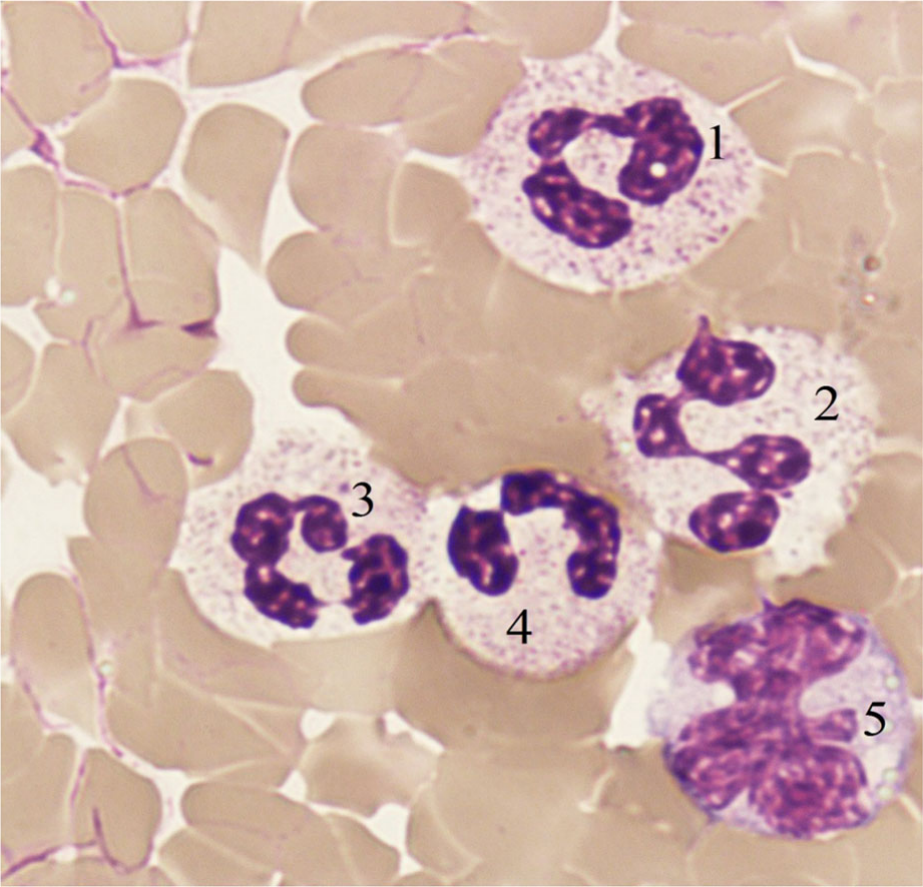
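This is a blood smear with several neutrophils and one monocyte lying among closely packed pale pink-beige red cells. Four of the white cells have dark purple nuclei split into three to five lobes joined by thin strands, with clumped chromatin. Their cytoplasm is pale and dusted with fine pinkish-violet granules. The cell at lower right is different: its nucleus is large, folded and unsegmented, with a looser, more reticular chromatin pattern. It has a narrow rim of pale bluish-grey cytoplasm without the granular look of the others.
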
